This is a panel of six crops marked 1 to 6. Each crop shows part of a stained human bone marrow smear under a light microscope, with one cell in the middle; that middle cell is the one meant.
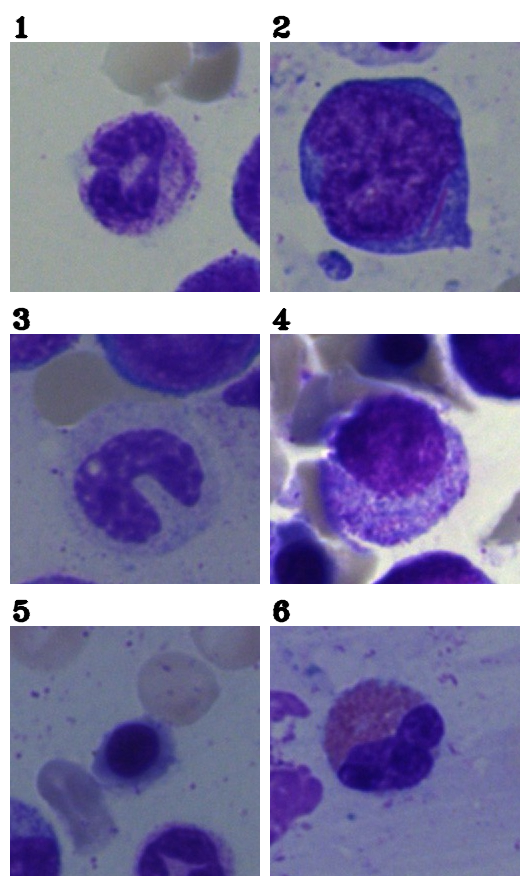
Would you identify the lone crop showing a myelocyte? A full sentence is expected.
Crop 4 shows a myelocyte, and no other crop does.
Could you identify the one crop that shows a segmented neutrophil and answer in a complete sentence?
Crop 1, of the crops presented, is the one showing a segmented neutrophil.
